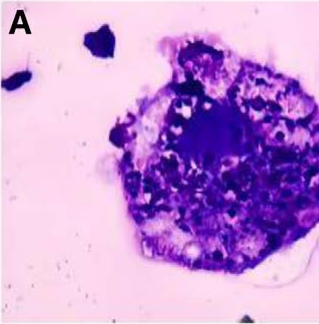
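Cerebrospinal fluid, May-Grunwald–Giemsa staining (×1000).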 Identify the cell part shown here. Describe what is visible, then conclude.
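Purple or blue inclusions surrounded by vacuoles. The large cell is packed with many dark purple granules and clumps of different sizes. Clear spaces surround many of these clumps.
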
